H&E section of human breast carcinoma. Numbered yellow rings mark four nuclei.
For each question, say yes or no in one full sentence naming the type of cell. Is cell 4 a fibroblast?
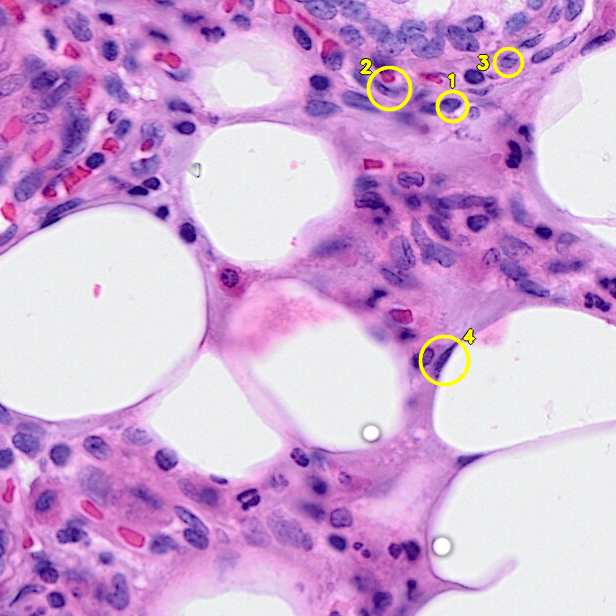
Yes, the cell tagged with number 4 is a fibroblast.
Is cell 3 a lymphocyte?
No, that is wrong: cell 3 is an endothelial cell, and not a lymphocyte.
